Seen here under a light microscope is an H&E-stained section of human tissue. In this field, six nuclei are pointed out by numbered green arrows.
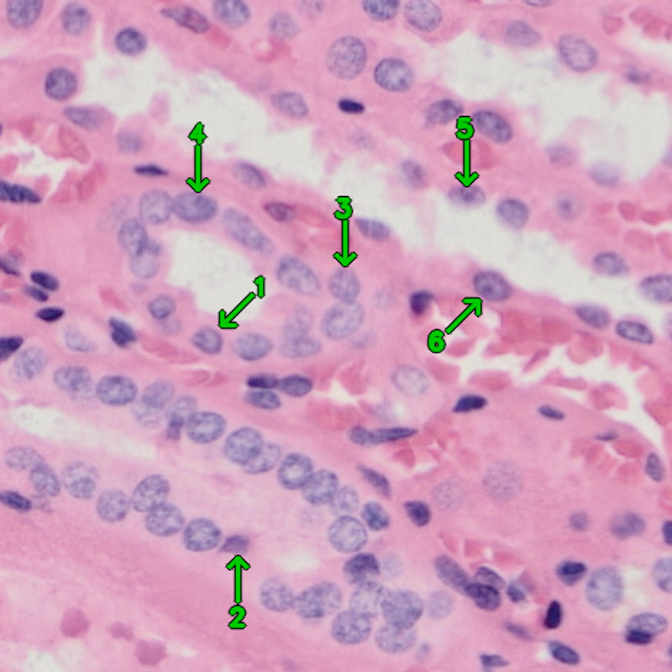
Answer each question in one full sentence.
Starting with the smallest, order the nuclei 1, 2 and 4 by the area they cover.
From smallest to largest, the order is 2, 1, 4.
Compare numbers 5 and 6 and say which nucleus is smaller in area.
With nucleus 6 about 1.5 times its size, nucleus 5 is the smaller of the two.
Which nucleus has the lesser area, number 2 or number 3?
Nucleus 2 covers less area, with nucleus 3 about 1.5 times as large.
